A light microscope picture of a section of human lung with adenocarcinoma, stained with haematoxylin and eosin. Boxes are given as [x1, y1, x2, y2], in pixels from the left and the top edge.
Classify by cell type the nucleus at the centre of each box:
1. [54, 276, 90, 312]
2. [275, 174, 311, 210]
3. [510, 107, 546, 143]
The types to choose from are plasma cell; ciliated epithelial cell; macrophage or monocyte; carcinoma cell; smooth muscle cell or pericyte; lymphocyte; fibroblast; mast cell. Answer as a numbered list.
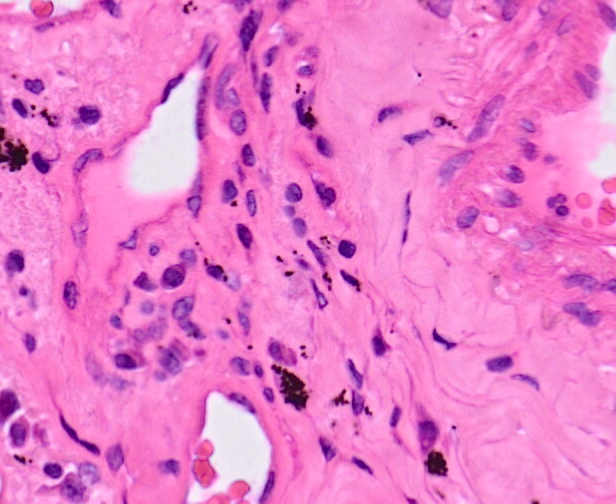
1. mast cell
2. lymphocyte
3. smooth muscle cell or pericyte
